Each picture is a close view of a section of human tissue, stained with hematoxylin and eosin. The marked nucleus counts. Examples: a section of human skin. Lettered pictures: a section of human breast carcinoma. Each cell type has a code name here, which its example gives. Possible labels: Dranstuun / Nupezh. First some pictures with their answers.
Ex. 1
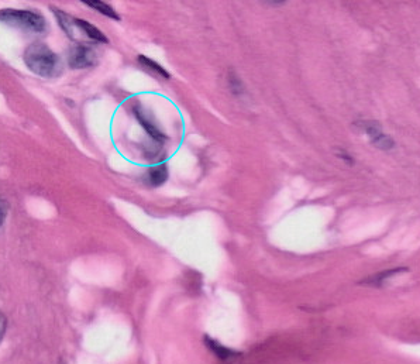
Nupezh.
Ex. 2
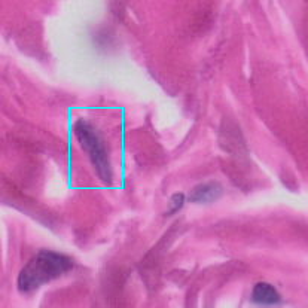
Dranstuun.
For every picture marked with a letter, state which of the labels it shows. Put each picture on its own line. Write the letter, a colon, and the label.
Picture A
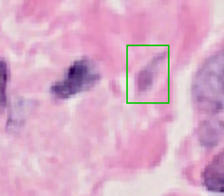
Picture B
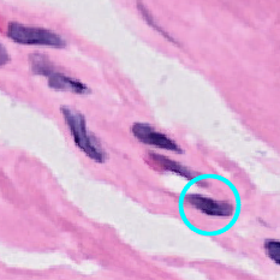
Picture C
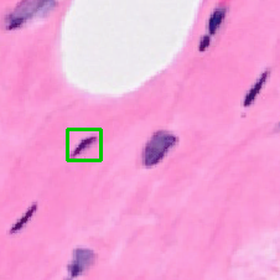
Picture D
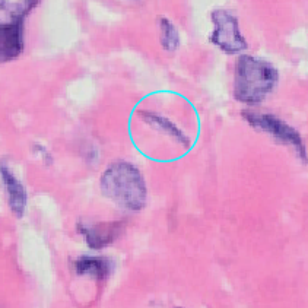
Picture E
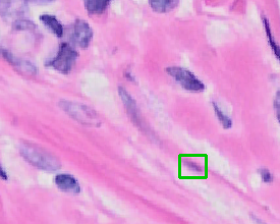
A: Dranstuun.
B: Nupezh.
C: Dranstuun.
D: Dranstuun.
E: Dranstuun.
